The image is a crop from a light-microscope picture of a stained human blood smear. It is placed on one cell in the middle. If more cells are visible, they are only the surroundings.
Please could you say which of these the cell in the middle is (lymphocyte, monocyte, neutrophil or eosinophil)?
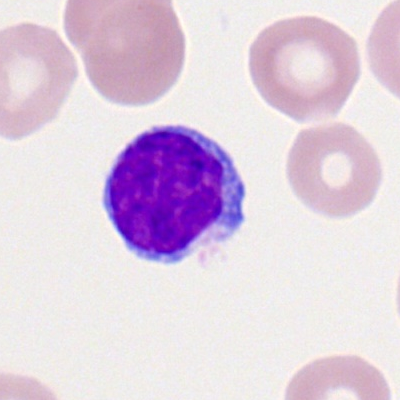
lymphocyte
